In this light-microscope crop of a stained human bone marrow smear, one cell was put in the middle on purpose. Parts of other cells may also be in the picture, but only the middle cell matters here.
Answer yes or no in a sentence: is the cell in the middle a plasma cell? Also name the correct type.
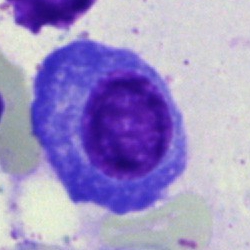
Yes, the cell shown at the crop's centre is a plasma cell.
